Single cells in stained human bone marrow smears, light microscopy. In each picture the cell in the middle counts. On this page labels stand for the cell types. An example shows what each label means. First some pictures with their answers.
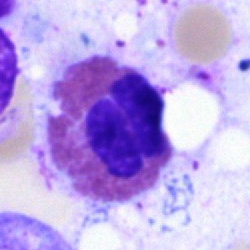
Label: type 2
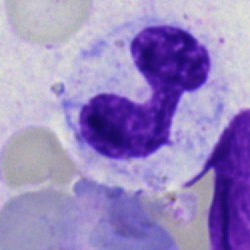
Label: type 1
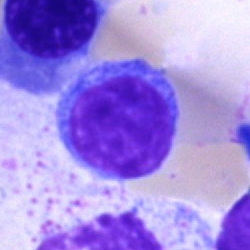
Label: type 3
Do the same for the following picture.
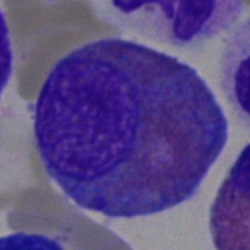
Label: type 2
